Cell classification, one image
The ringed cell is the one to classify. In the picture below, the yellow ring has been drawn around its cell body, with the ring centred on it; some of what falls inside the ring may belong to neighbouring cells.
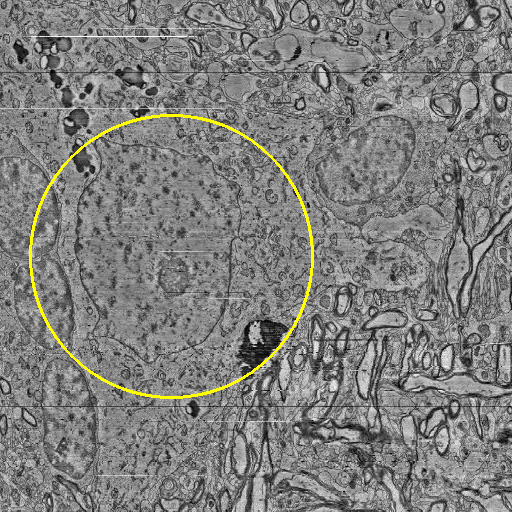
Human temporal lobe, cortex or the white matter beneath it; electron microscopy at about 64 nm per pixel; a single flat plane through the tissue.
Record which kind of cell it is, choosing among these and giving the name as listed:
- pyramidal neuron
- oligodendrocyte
pyramidal neuron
